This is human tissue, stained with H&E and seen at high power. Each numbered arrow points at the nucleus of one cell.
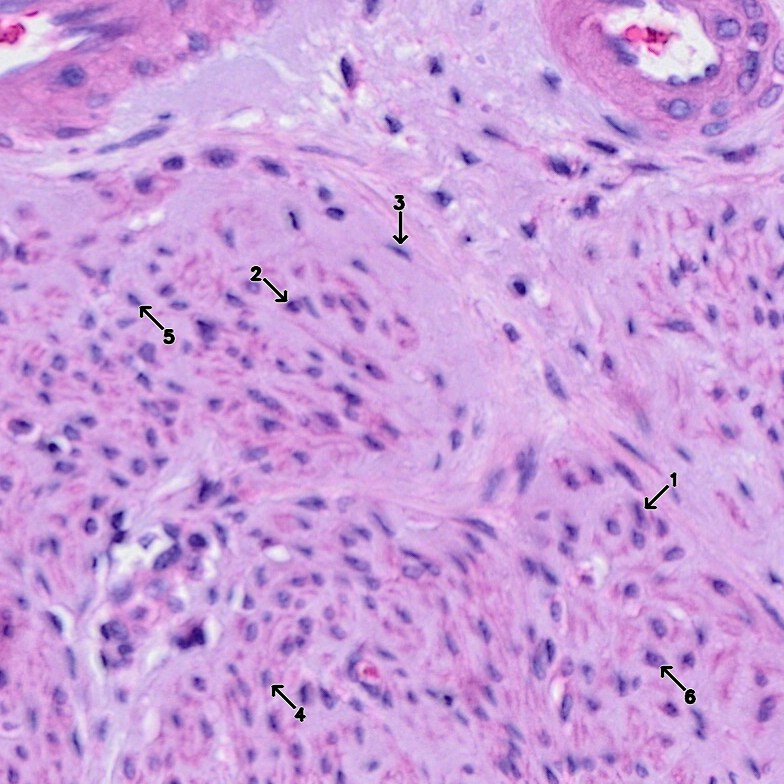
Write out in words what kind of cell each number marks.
Cell 1 is a smooth muscle cell, cell 2 is a smooth muscle cell, cell 3 is a fibroblast, cell 4 is a smooth muscle cell, cell 5 is a fibroblast and cell 6 is a smooth muscle cell.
